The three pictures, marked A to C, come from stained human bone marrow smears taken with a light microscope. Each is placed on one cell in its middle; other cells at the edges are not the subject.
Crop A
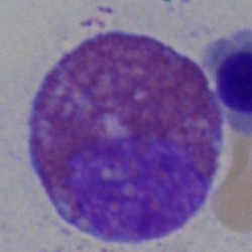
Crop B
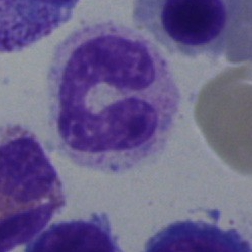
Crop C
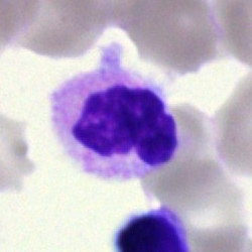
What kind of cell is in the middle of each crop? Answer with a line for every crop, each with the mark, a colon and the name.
A: eosinophil
B: band neutrophil
C: segmented neutrophil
